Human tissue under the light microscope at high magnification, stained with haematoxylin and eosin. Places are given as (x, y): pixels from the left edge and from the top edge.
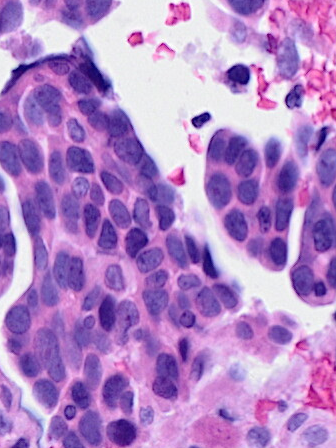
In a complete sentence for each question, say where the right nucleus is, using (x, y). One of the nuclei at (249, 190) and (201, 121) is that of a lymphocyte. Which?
Which one belongs to a lymphocyte? The nucleus at (201, 121) does.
